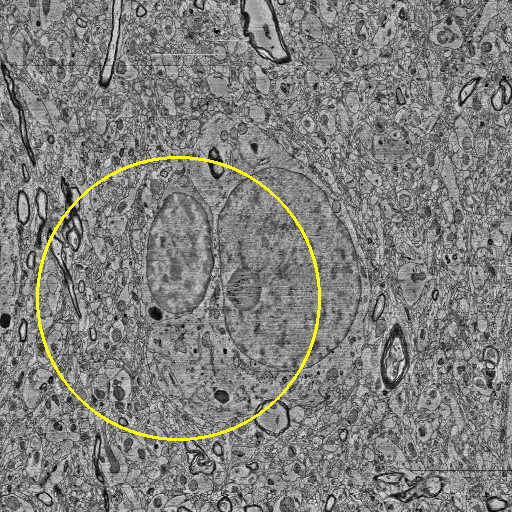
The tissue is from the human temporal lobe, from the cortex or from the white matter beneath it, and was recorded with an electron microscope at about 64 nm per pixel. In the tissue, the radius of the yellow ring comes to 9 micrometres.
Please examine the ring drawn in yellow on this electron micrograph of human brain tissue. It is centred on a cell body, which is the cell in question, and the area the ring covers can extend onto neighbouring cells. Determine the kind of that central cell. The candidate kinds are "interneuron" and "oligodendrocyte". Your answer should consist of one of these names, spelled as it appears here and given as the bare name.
oligodendrocyte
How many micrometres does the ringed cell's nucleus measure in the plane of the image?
Roughly 8 micrometres by 4 micrometres, so the nucleus is clearly longer than it is wide in this plane.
